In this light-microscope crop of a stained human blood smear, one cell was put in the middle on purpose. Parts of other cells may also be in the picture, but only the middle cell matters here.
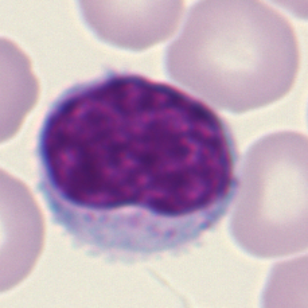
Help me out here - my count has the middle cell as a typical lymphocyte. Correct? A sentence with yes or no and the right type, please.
Yes, in the centre of this field sits a typical lymphocyte.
